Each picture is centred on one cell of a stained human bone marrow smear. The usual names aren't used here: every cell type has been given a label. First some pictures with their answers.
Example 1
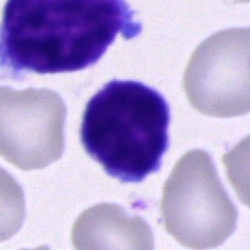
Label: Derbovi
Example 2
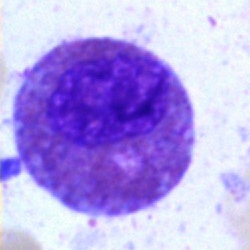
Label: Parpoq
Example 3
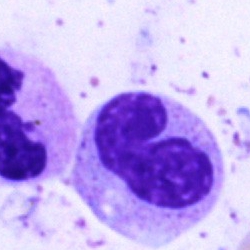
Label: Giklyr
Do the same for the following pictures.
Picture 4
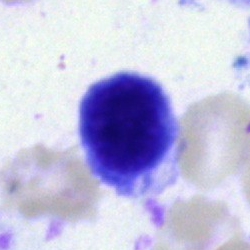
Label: Derbovi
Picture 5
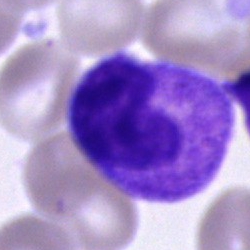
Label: Giklyr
